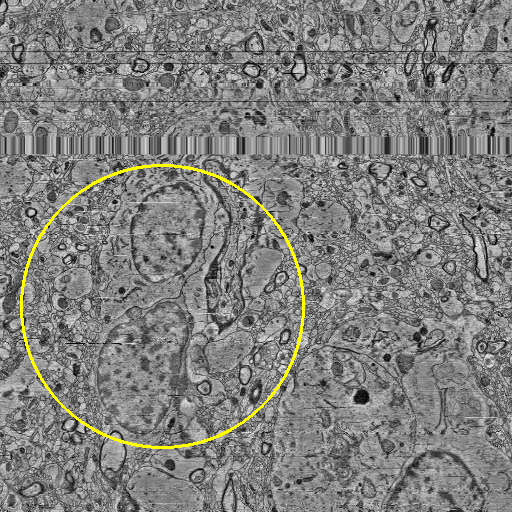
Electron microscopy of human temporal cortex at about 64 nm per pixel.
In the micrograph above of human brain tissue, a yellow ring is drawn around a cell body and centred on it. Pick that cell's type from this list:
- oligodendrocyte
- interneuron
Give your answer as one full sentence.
Going by the list, an oligodendrocyte is the cell on which the yellow ring is centred.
